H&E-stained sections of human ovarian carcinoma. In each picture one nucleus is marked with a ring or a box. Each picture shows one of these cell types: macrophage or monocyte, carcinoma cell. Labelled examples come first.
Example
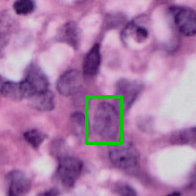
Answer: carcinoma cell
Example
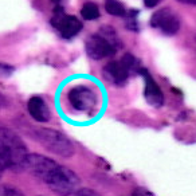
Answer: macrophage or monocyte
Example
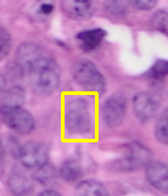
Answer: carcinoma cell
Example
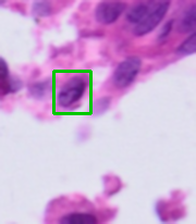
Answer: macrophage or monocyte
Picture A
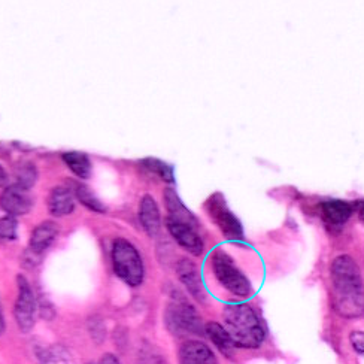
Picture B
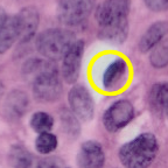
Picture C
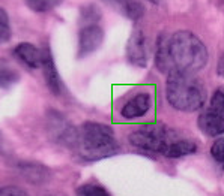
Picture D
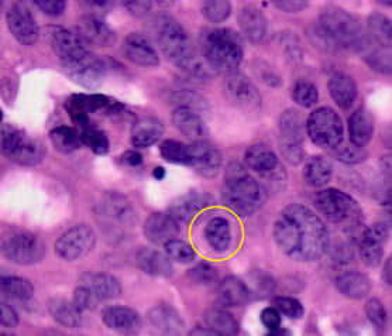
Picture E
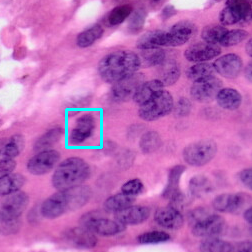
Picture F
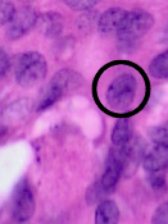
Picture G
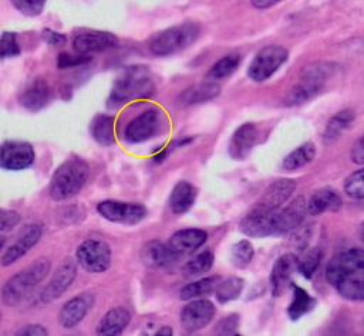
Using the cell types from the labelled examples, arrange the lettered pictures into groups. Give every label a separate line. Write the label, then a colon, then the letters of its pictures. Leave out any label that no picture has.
macrophage or monocyte: C, D, E
carcinoma cell: A, B, F, G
